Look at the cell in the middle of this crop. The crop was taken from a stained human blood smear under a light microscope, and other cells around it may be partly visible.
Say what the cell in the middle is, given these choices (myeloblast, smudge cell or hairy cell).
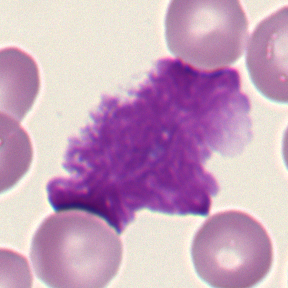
smudge cell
